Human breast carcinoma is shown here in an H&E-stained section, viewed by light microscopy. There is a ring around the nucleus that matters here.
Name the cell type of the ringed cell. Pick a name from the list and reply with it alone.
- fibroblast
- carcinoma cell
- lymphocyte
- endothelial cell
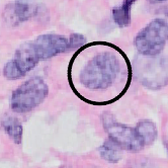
carcinoma cell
